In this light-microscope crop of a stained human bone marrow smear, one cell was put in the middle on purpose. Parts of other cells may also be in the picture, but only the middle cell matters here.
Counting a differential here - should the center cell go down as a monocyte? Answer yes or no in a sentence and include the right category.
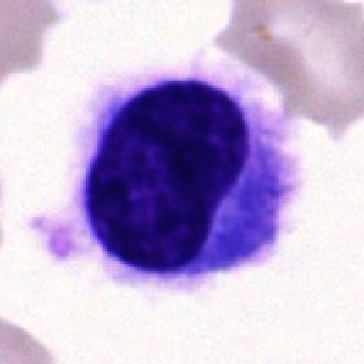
No, at the middle of the crop is a hairy cell, not a monocyte.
